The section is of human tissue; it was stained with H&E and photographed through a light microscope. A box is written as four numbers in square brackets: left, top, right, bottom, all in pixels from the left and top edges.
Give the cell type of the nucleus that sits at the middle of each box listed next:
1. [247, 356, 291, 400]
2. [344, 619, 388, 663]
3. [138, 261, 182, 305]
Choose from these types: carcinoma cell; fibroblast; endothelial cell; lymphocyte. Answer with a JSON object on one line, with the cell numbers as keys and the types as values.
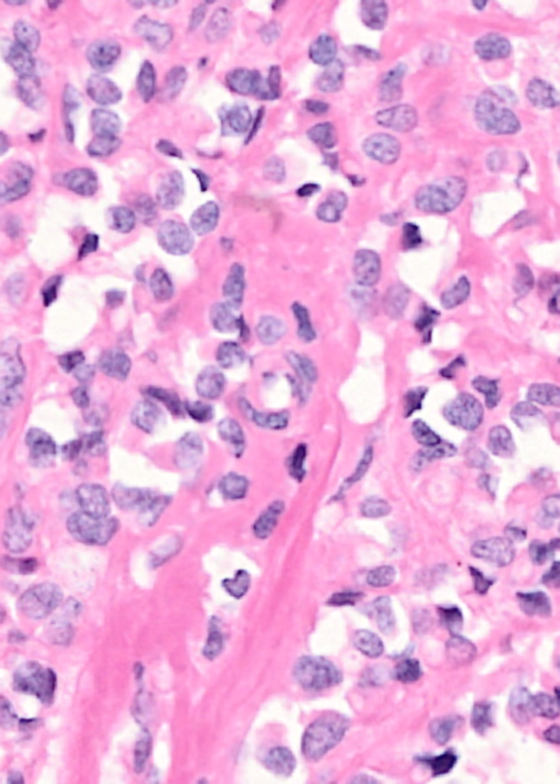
{"1": "endothelial cell", "2": "carcinoma cell", "3": "carcinoma cell"}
